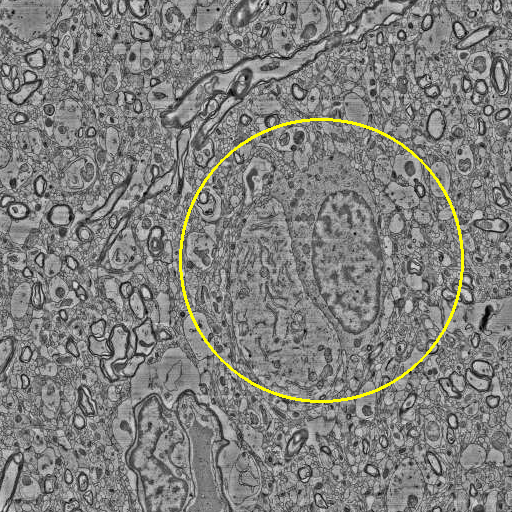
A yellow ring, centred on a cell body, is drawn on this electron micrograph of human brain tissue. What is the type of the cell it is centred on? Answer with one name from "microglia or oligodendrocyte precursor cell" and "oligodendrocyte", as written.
oligodendrocyte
